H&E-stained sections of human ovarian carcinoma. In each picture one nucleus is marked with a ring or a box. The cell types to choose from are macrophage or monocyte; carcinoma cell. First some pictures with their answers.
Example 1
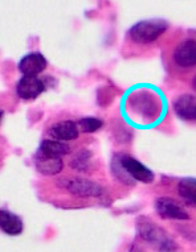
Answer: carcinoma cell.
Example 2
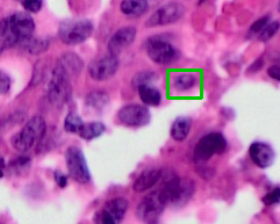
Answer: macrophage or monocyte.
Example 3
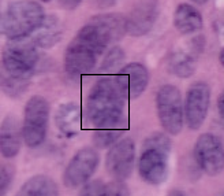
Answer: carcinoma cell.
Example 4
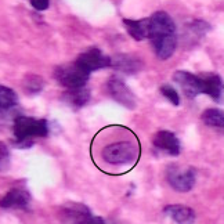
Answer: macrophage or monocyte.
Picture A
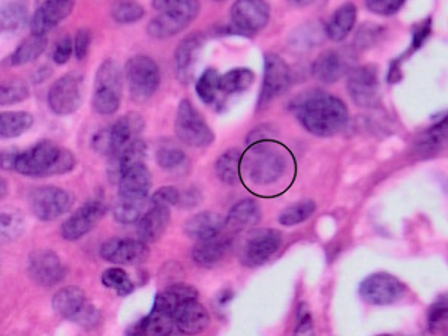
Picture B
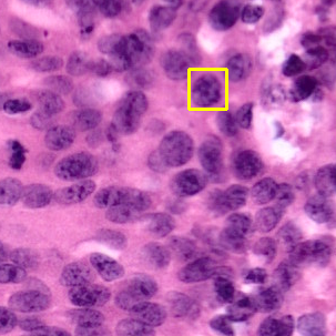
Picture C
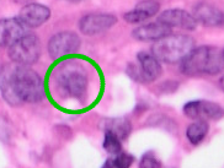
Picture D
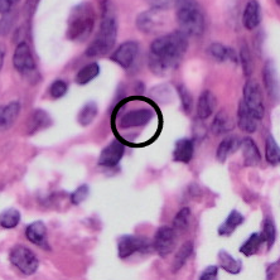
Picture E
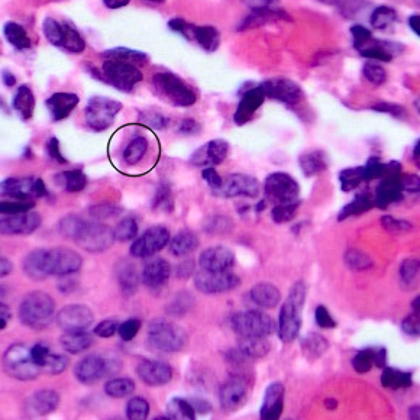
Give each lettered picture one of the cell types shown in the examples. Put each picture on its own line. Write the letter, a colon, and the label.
A: carcinoma cell.
B: carcinoma cell.
C: carcinoma cell.
D: carcinoma cell.
E: macrophage or monocyte.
